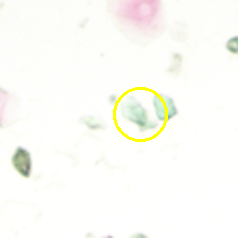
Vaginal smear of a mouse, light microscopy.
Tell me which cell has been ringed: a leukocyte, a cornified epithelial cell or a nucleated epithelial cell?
It is a cornified epithelial cell.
